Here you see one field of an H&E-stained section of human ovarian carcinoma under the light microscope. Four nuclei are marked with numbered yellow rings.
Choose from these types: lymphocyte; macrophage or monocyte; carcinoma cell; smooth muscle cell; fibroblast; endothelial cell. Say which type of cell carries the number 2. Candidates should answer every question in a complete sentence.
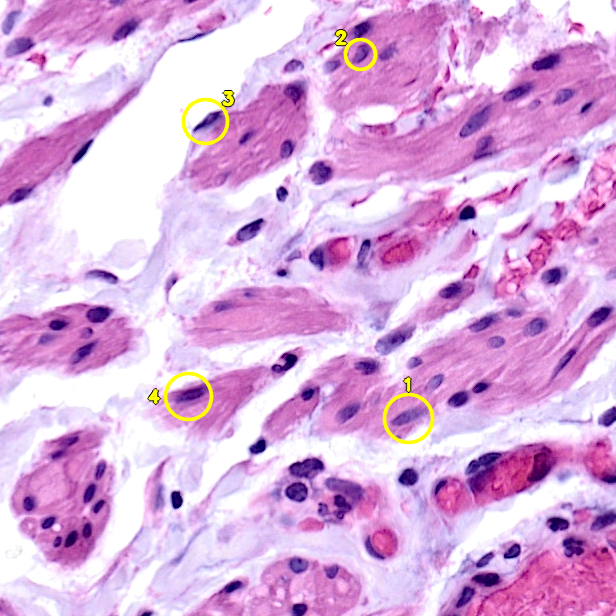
In the marked set, the cell given number 2 is a smooth muscle cell.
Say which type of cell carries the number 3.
To an endothelial cell belongs the nucleus marked 3.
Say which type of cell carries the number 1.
Cell 1 in the field is a smooth muscle cell.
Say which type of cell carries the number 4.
The marked cell bearing number 4 is a smooth muscle cell.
